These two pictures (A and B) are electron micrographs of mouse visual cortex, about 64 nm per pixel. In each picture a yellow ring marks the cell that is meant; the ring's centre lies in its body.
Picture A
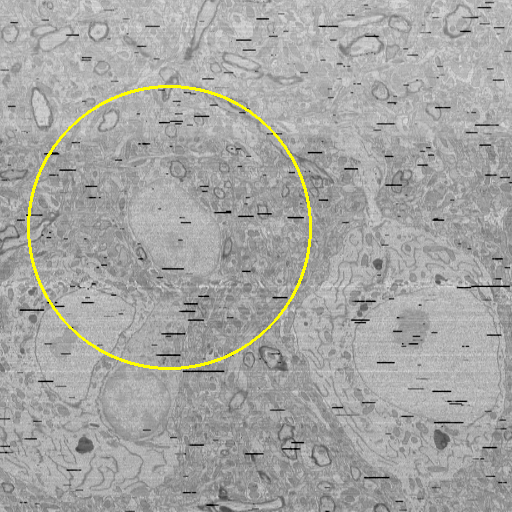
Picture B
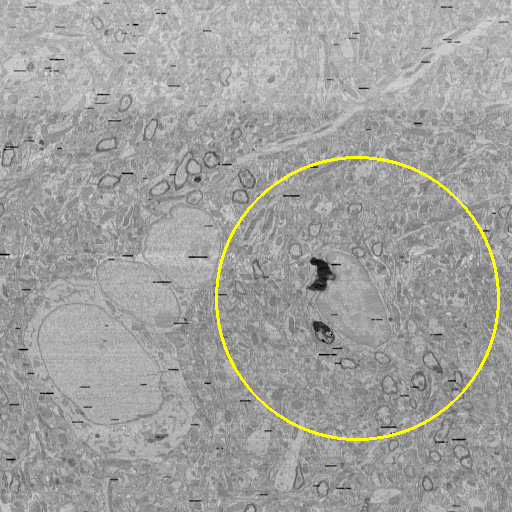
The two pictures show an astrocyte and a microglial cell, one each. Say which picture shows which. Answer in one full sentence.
It is picture A that shows an astrocyte, and picture B that shows a microglial cell.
